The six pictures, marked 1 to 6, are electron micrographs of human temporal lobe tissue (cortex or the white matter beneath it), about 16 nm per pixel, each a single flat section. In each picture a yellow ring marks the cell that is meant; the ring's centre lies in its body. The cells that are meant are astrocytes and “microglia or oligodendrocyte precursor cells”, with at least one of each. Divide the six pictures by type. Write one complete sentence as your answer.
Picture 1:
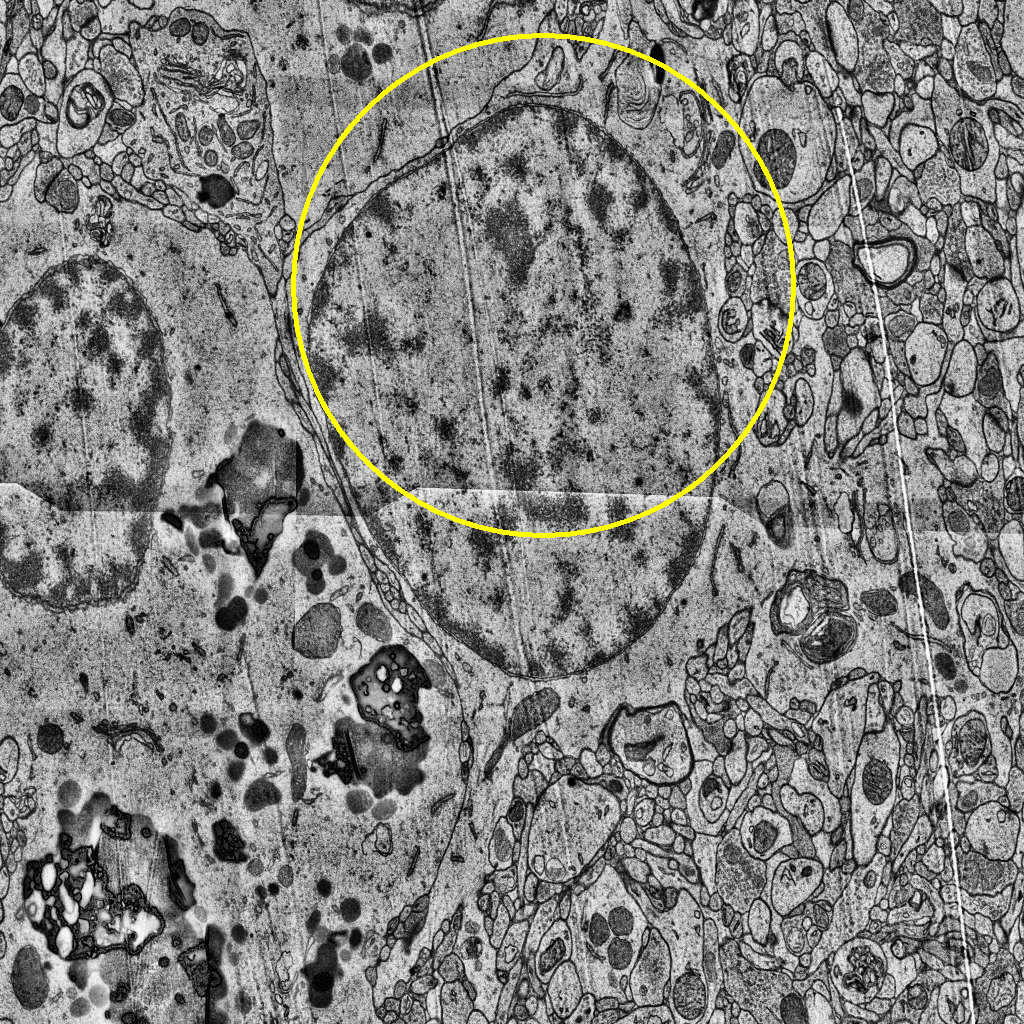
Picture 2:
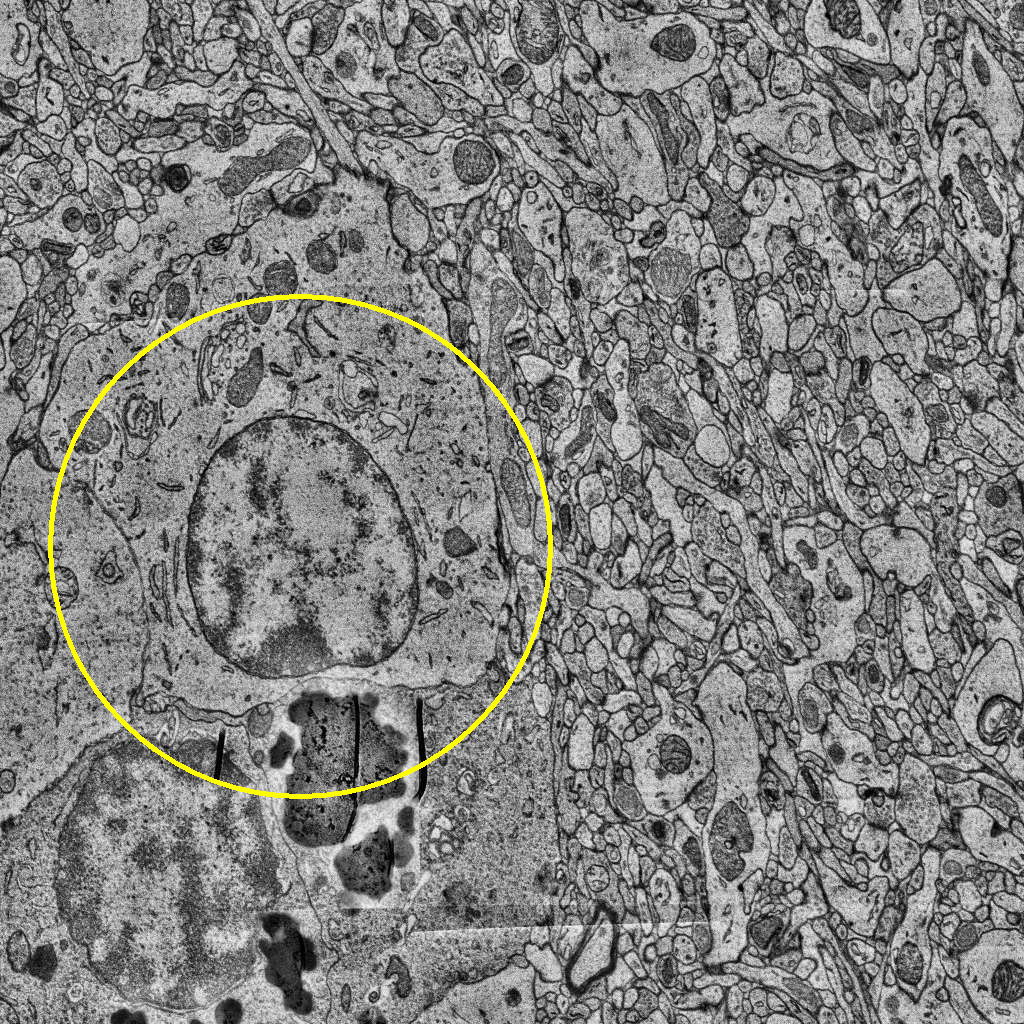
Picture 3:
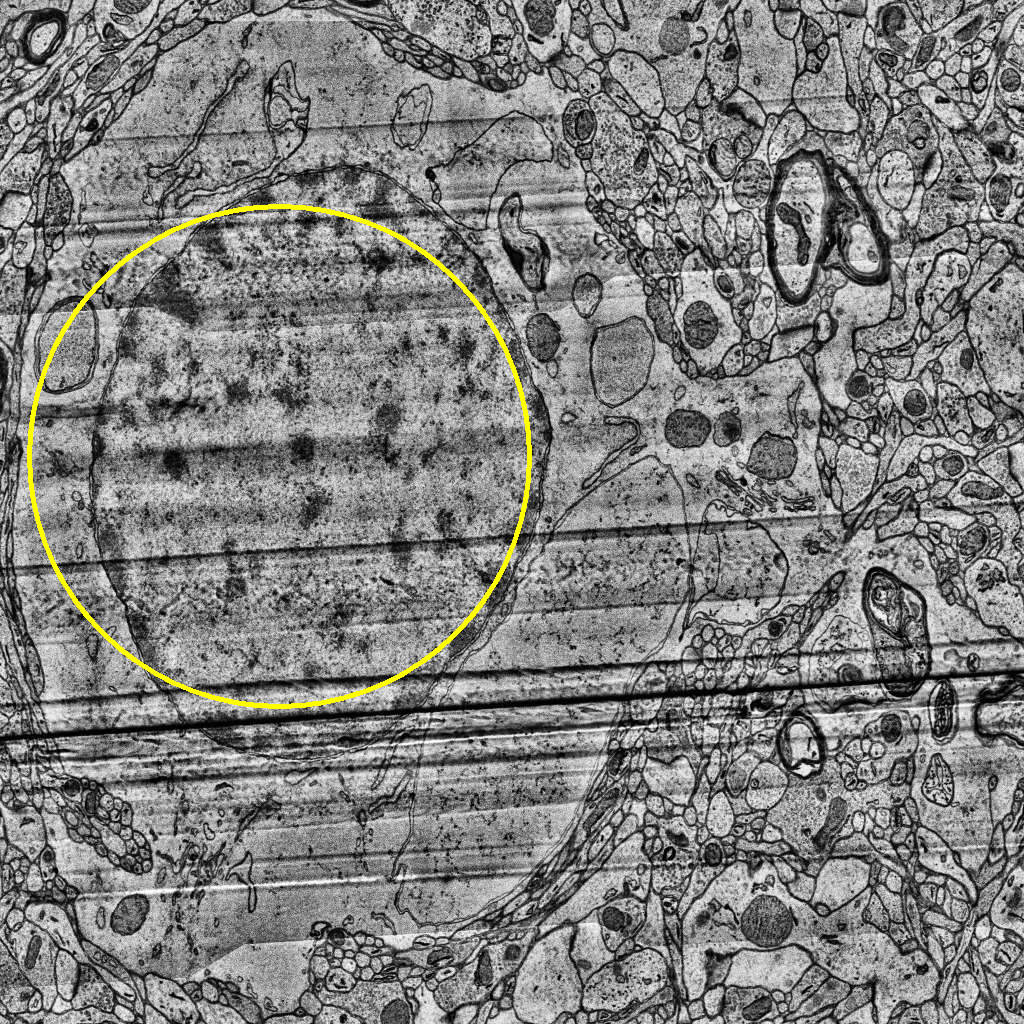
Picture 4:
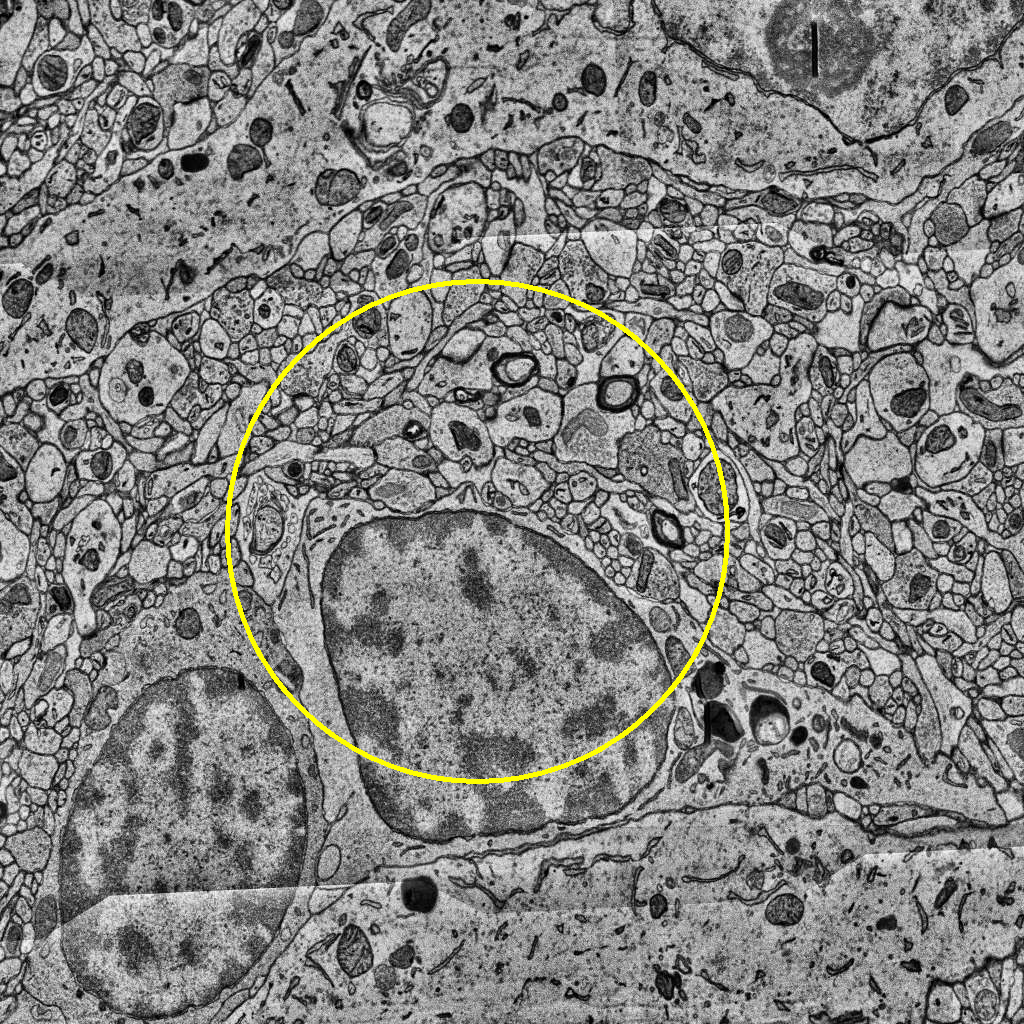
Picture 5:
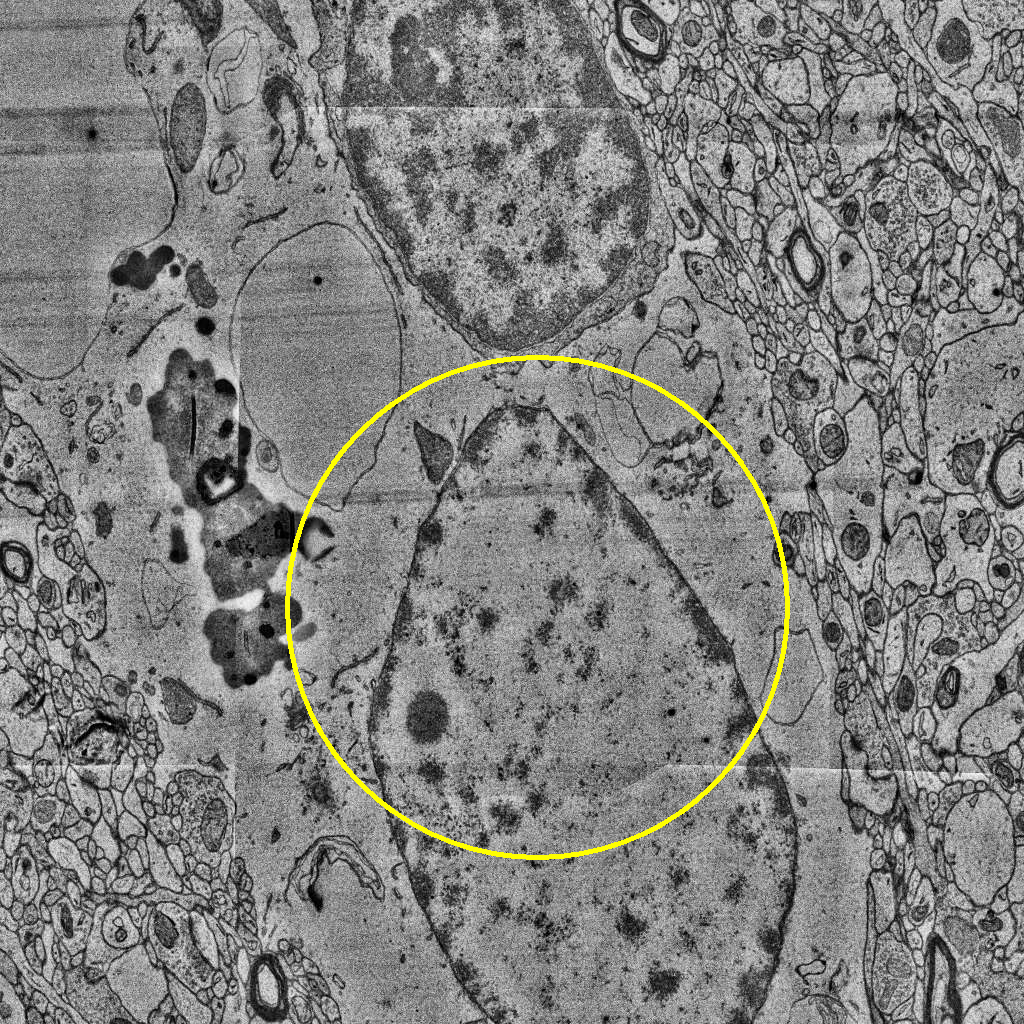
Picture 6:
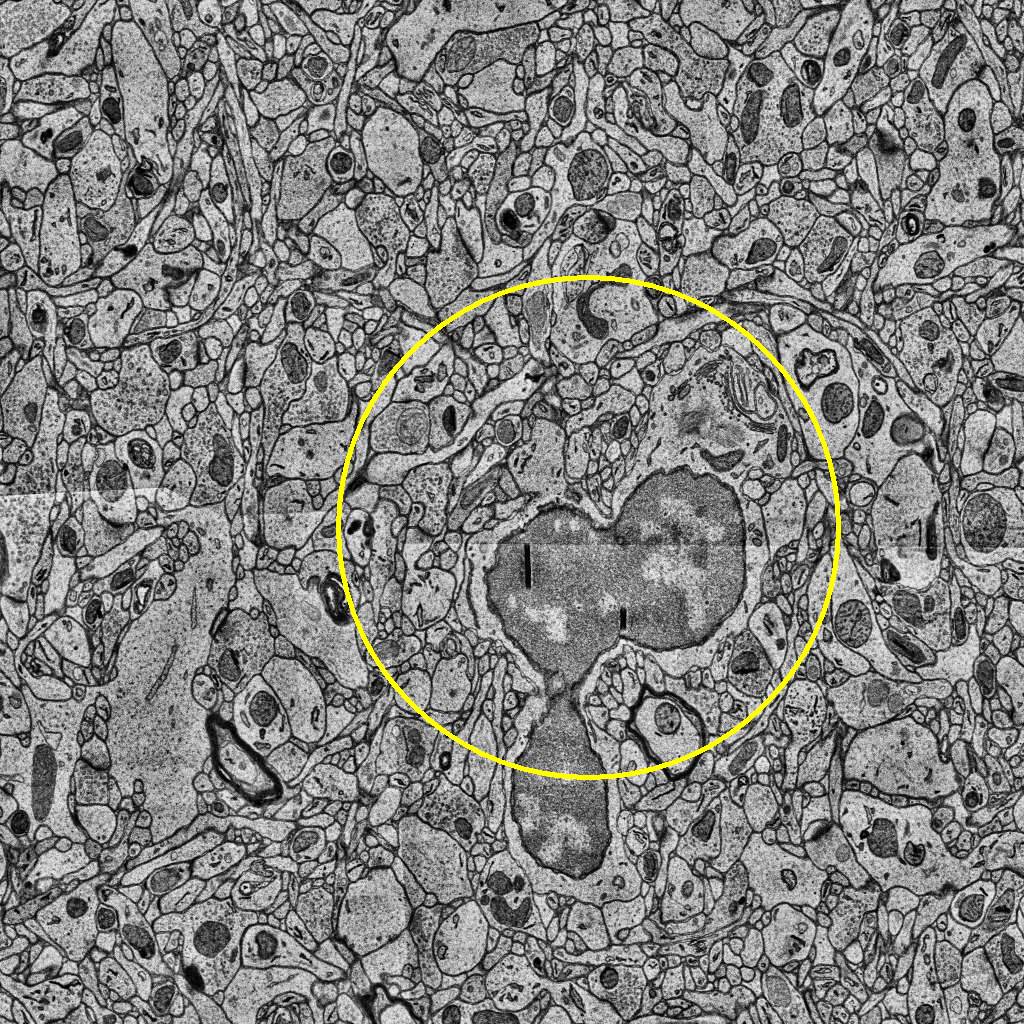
Pictures 1, 3 and 5 show astrocytes, and pictures 2, 4 and 6 show “microglia or oligodendrocyte precursor cells”.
